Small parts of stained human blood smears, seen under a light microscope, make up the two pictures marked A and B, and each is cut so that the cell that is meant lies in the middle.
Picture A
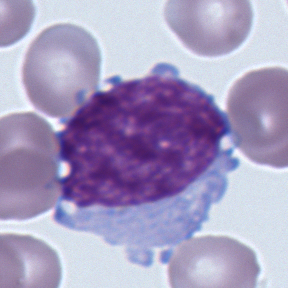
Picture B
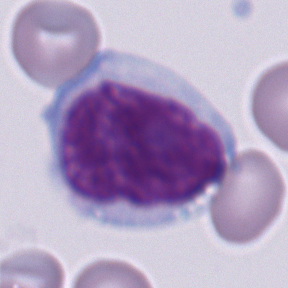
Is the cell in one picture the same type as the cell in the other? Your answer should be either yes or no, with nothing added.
yes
